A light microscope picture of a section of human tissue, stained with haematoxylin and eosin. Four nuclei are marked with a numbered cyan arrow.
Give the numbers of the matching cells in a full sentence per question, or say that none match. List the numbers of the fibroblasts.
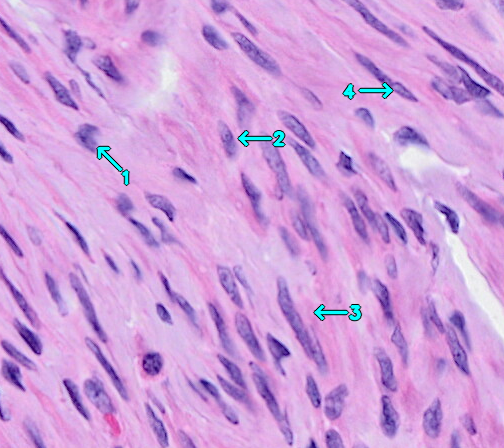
The cell marked by number 1 is a fibroblast; the other marked cells are not.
